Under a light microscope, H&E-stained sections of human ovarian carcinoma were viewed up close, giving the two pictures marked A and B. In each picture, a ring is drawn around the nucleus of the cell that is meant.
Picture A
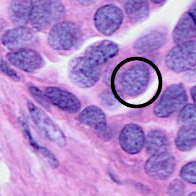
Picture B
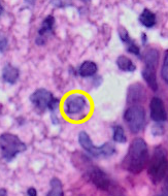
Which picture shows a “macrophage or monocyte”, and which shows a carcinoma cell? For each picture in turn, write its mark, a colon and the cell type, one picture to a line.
A: carcinoma cell
B: macrophage or monocyte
